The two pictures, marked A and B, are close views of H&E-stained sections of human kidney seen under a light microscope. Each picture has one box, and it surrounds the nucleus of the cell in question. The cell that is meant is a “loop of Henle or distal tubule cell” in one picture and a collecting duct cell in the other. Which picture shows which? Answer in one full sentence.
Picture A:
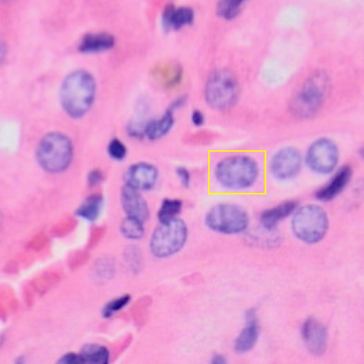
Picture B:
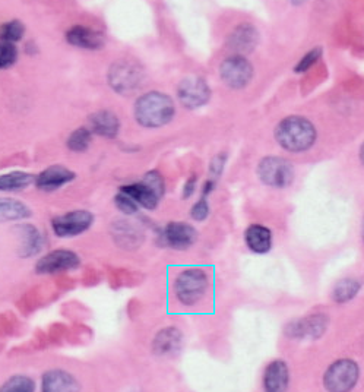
In picture A the cell is a collecting duct cell; in picture B, a “loop of Henle or distal tubule cell”.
